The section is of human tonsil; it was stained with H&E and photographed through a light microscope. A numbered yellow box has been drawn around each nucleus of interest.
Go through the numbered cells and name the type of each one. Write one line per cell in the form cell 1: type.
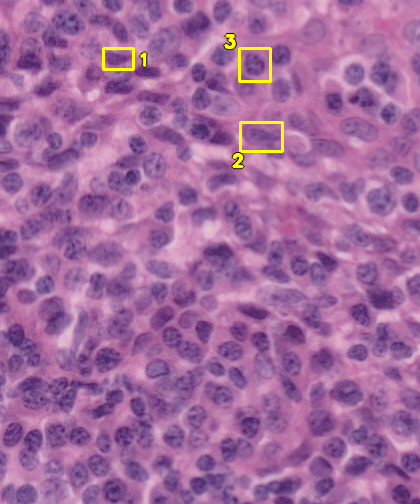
cell 1: squamous epithelial cell
cell 2: squamous epithelial cell
cell 3: plasma cell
